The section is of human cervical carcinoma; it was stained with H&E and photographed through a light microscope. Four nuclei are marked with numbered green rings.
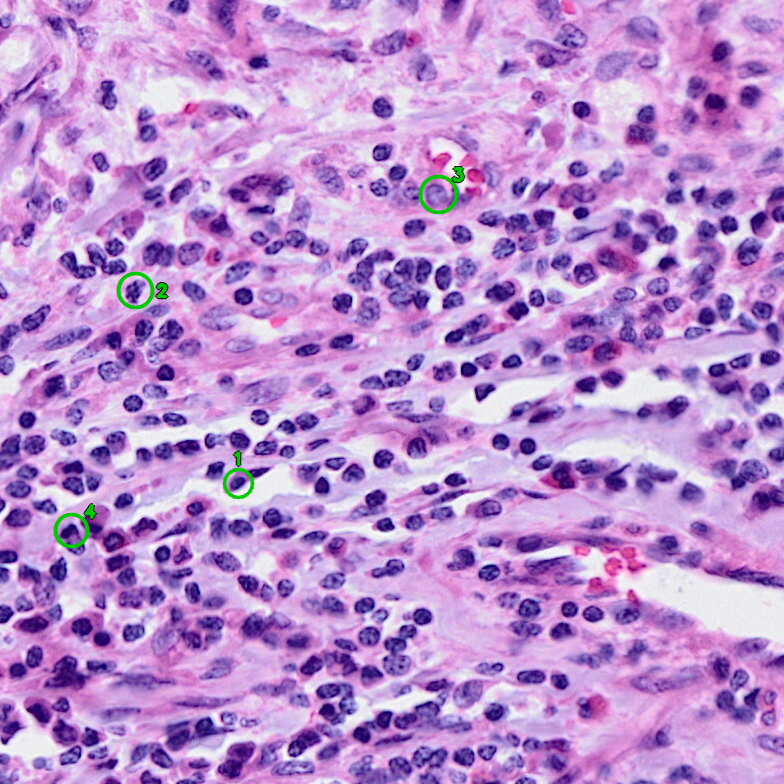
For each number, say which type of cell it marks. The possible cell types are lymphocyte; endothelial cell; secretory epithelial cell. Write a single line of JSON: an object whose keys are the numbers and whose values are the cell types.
{"1": "lymphocyte", "2": "lymphocyte", "3": "endothelial cell", "4": "lymphocyte"}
